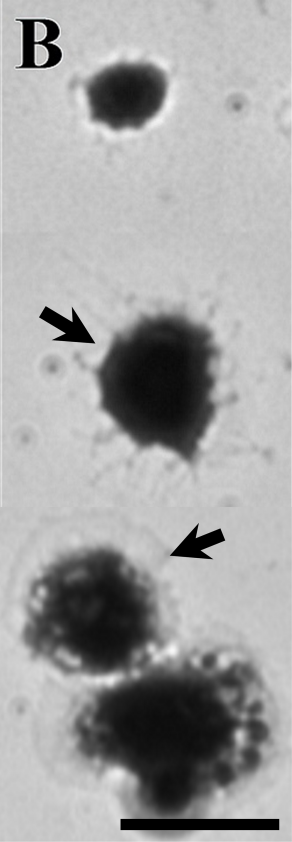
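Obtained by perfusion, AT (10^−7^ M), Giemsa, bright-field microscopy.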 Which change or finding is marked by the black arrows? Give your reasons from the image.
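Hemocyte spreading. The marked cell bears many fine thread-like projections around its edge. A pale rim of flattened cytoplasm surrounds the lower marked cell. Cell bodies are densely stained dark.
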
